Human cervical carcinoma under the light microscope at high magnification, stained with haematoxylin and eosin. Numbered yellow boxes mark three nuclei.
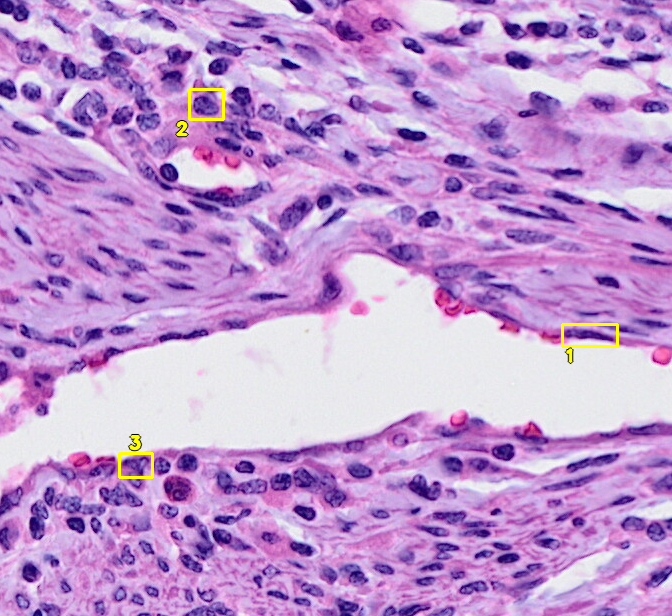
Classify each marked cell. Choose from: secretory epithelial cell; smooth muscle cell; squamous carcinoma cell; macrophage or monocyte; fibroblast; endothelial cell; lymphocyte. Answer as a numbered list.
1. endothelial cell
2. lymphocyte
3. endothelial cell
